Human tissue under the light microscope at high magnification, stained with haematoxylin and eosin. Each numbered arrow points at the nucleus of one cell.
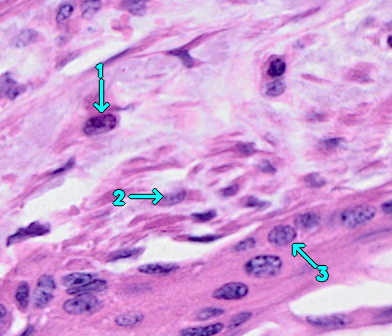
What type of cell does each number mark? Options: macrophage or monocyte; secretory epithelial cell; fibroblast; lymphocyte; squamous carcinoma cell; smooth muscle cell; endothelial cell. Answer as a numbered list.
1. macrophage or monocyte
2. fibroblast
3. squamous carcinoma cell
